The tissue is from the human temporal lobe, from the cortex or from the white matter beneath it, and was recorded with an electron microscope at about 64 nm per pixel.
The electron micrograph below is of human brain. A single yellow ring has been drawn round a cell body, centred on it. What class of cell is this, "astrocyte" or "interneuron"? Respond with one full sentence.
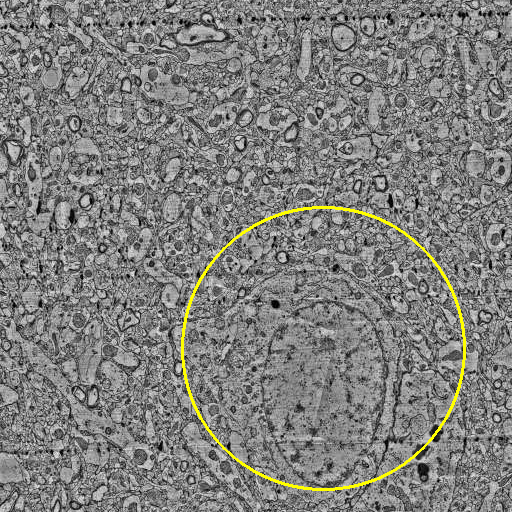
In the micrograph, the cell centred inside the yellow ring is an interneuron.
